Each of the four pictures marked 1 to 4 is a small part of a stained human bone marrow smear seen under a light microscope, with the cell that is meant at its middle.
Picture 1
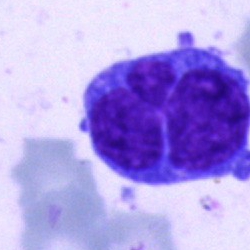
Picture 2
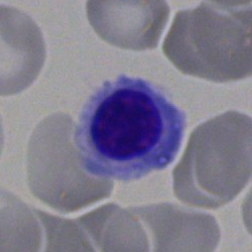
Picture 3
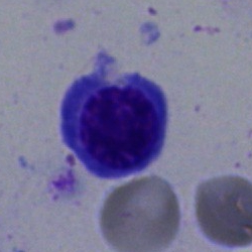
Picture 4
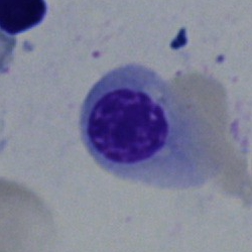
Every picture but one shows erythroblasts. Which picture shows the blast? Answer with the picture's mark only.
1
